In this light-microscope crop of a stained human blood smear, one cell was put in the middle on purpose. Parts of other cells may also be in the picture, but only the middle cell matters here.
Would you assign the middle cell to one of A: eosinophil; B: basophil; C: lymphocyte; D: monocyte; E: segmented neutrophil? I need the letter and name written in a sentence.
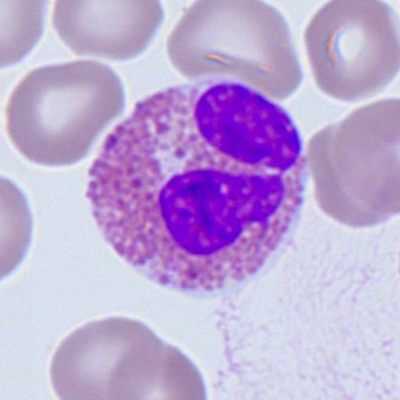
Option A is the keyed answer: the cell in the middle is an eosinophil.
